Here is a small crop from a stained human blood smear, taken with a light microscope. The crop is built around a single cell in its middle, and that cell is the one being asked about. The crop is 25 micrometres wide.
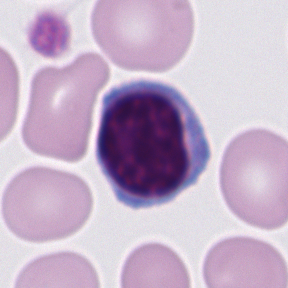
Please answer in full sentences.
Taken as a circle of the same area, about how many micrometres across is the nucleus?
The nucleus is about 8 micrometres across.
